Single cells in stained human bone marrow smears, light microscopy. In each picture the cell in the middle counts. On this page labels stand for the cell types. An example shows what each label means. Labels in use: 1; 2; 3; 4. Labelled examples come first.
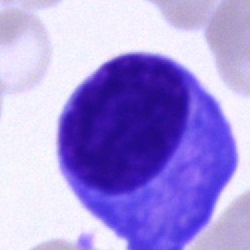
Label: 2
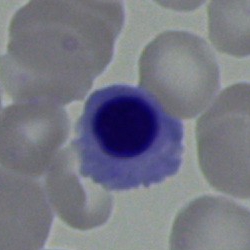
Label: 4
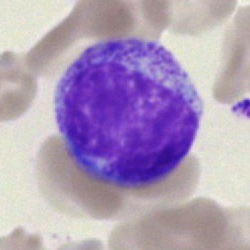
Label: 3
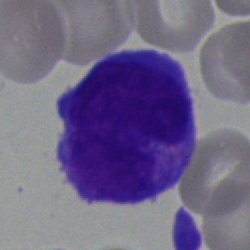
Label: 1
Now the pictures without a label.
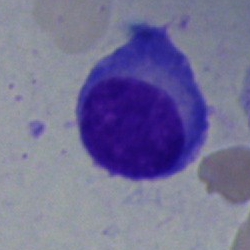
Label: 2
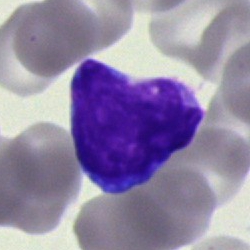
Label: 1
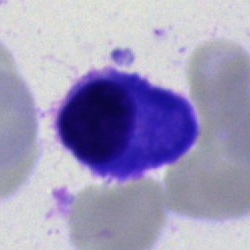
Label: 2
